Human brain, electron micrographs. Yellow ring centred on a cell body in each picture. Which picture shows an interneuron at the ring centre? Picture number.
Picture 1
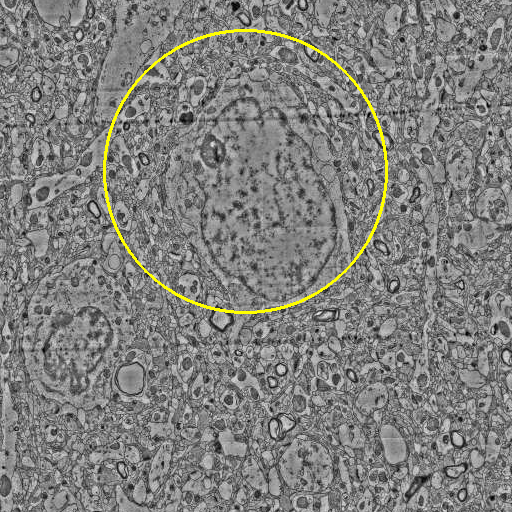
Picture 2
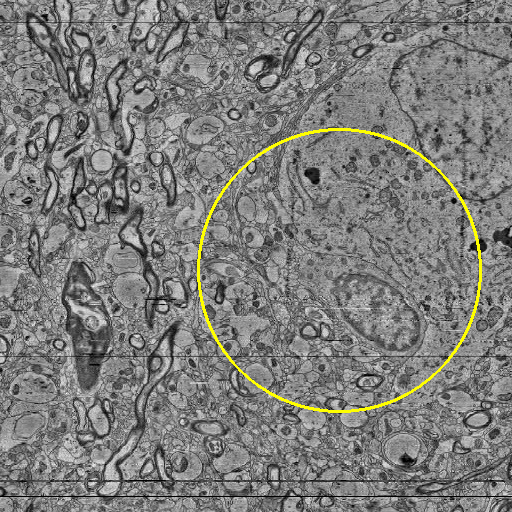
1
